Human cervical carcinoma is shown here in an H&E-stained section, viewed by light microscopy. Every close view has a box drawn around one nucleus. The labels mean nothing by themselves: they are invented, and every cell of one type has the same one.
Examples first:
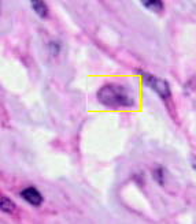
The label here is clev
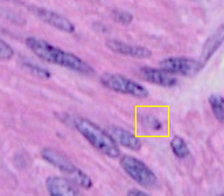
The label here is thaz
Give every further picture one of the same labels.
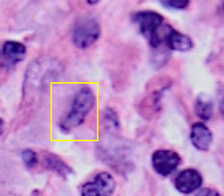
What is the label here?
clev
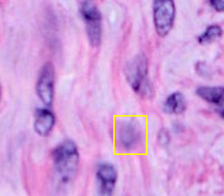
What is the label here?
thaz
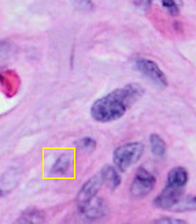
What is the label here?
thaz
